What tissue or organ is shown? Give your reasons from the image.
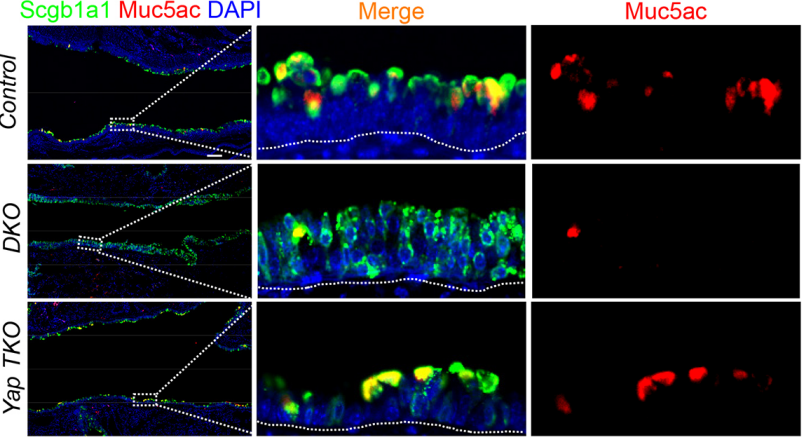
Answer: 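Airway epithelium. The lining runs as a thin band along folded walls in the overviews.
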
